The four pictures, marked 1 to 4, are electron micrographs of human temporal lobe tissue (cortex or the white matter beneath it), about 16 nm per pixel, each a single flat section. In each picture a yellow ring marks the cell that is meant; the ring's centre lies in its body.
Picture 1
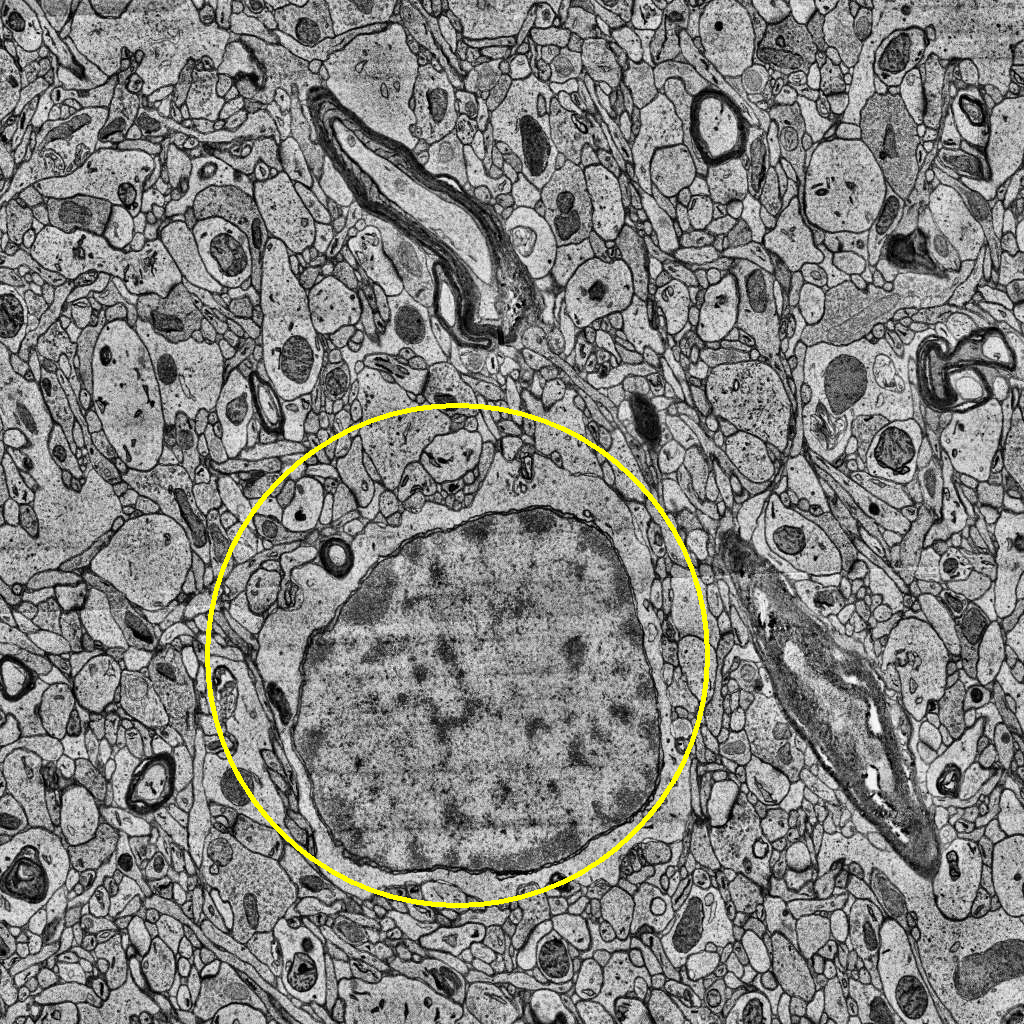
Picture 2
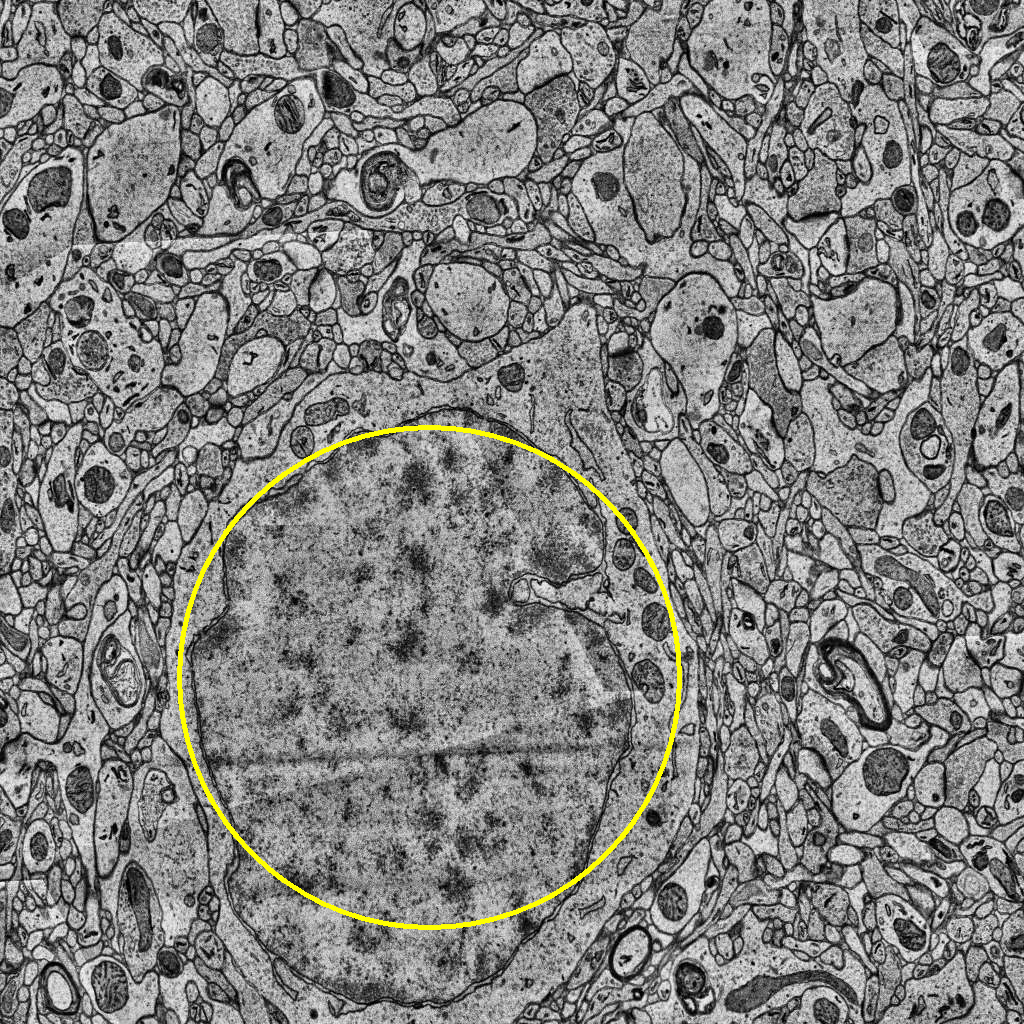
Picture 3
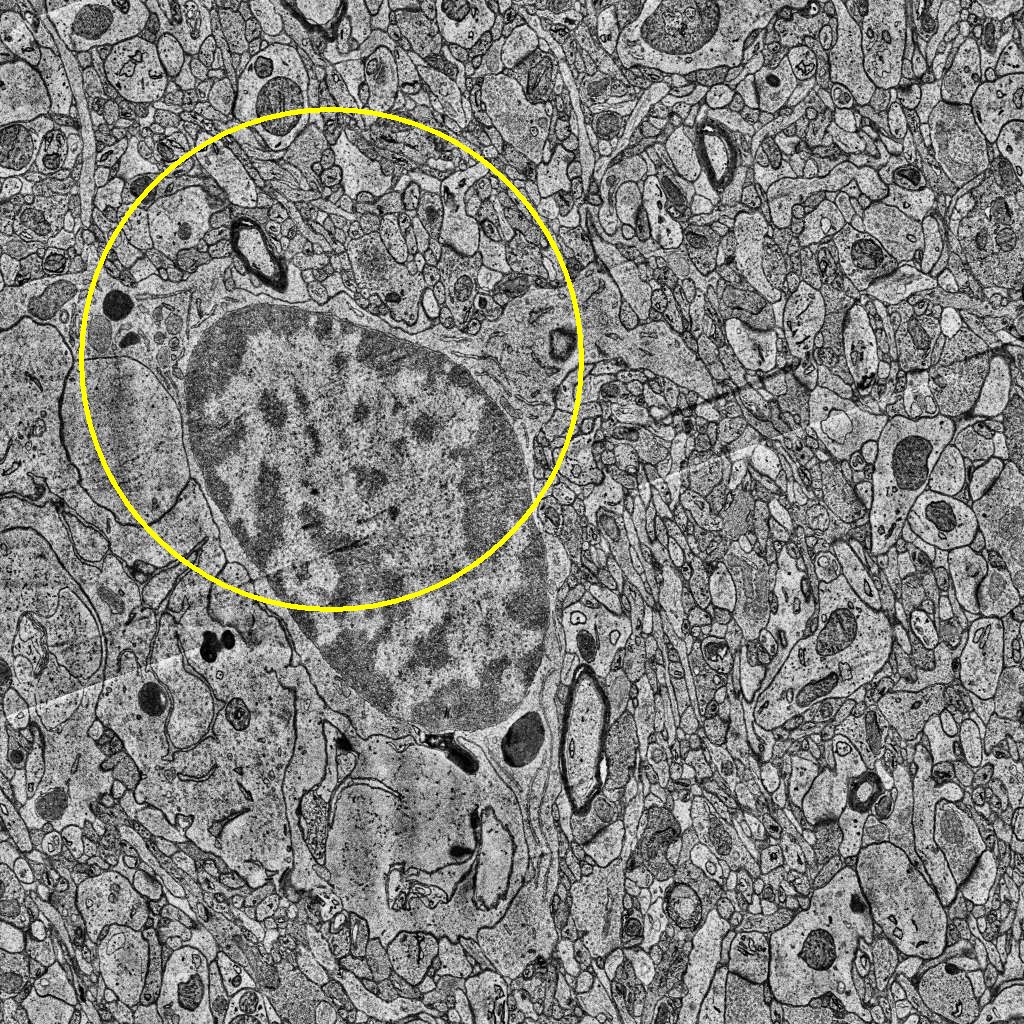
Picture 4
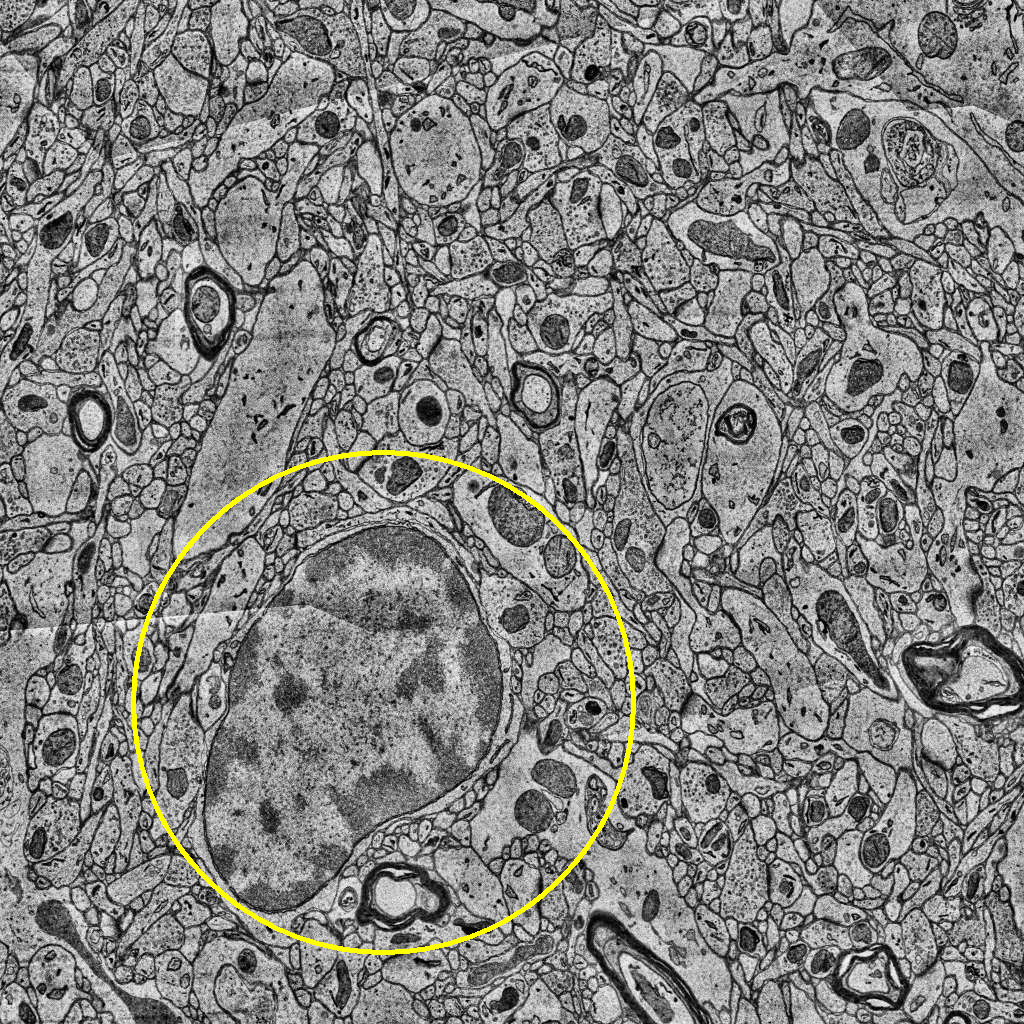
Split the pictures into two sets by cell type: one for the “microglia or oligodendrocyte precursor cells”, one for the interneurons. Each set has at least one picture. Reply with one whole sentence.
Pictures 1, 3 and 4 show “microglia or oligodendrocyte precursor cells”; picture 2 shows an interneuron.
